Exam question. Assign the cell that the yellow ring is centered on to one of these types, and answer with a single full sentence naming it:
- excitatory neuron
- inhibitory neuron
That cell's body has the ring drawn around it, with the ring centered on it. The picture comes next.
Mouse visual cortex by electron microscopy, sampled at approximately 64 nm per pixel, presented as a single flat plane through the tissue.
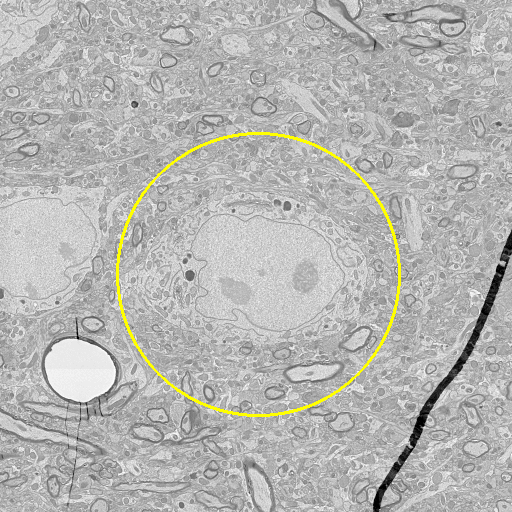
In the micrograph, the cell the yellow ring is centered on is an inhibitory neuron.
